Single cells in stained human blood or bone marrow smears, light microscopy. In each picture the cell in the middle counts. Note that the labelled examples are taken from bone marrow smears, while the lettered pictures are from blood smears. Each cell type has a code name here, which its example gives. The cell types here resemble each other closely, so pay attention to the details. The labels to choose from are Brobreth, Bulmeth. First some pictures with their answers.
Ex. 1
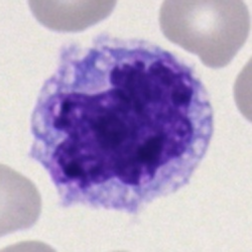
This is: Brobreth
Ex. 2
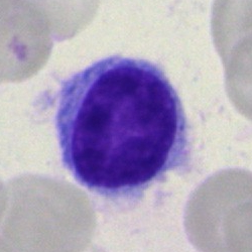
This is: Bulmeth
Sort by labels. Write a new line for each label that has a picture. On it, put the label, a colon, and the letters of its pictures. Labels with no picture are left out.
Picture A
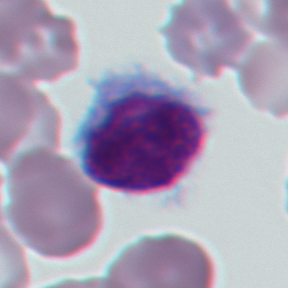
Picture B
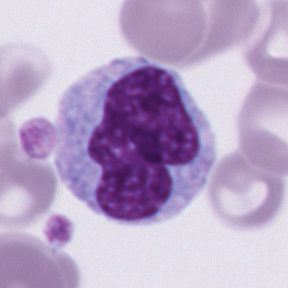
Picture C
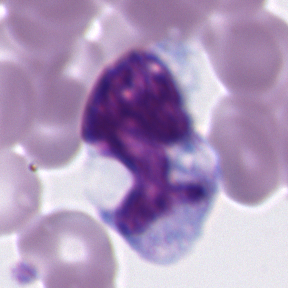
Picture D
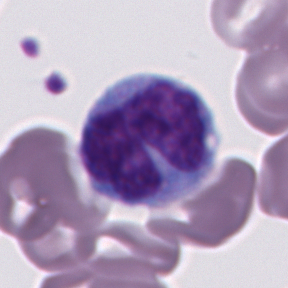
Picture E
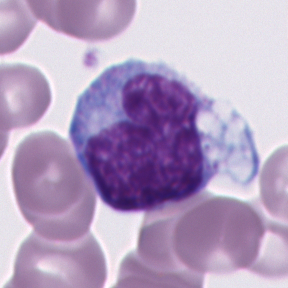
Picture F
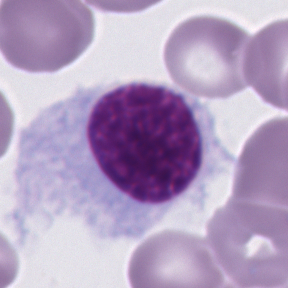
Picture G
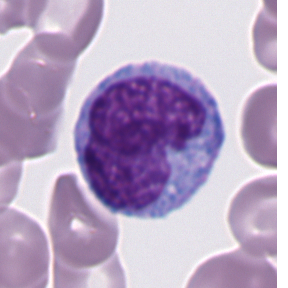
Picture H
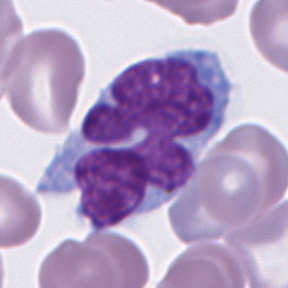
Brobreth: B, C, D, E, G, H
Bulmeth: A, F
